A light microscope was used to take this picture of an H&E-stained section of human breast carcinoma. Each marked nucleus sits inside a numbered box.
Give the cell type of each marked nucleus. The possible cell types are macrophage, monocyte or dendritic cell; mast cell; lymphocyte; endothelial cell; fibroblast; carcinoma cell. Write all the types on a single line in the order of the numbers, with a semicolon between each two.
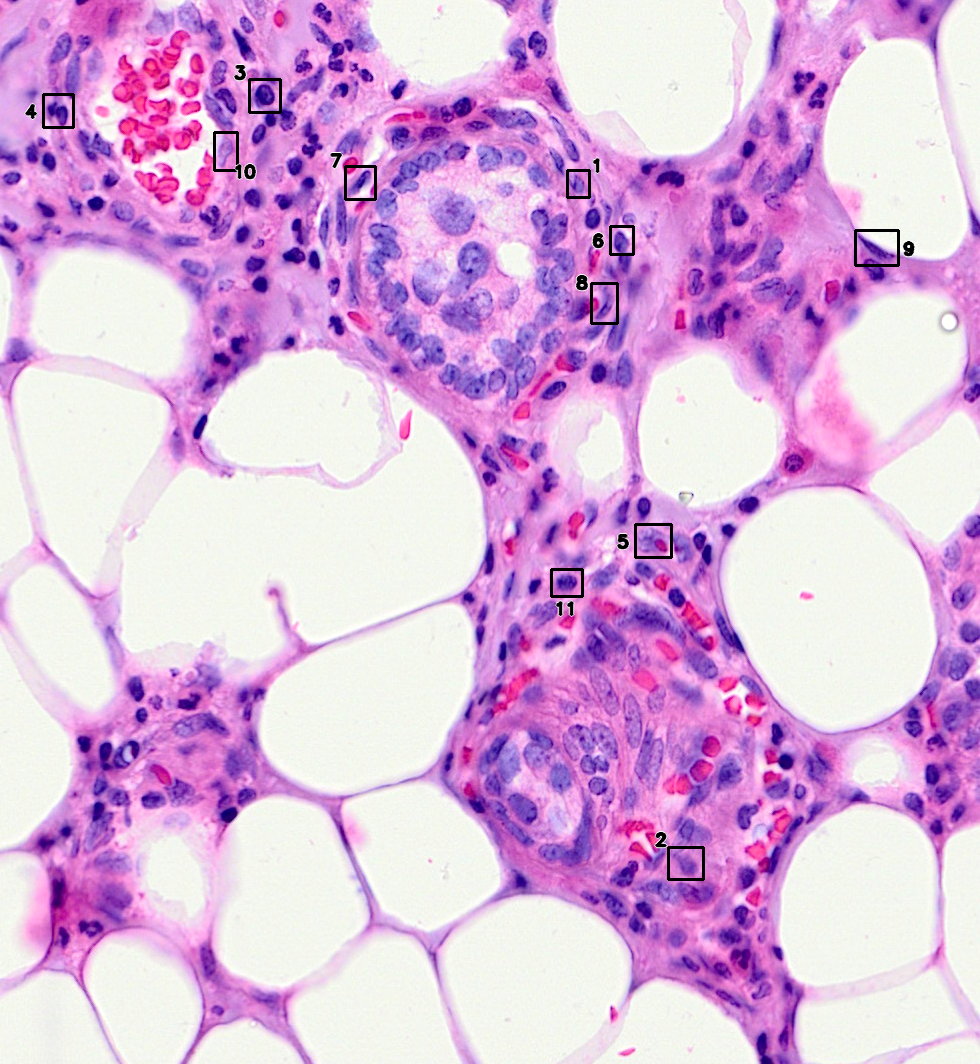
endothelial cell; endothelial cell; lymphocyte; lymphocyte; endothelial cell; lymphocyte; endothelial cell; endothelial cell; fibroblast; endothelial cell; mast cell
